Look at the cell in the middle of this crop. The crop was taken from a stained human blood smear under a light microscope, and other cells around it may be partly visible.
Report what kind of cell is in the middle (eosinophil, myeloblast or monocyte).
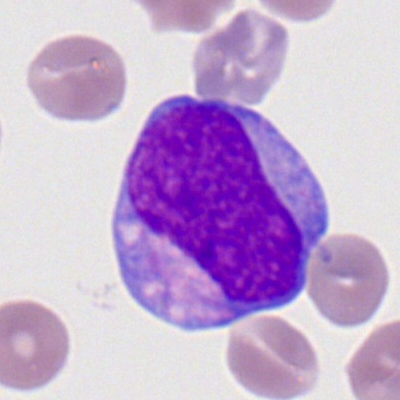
myeloblast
